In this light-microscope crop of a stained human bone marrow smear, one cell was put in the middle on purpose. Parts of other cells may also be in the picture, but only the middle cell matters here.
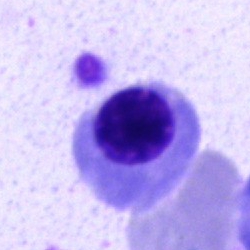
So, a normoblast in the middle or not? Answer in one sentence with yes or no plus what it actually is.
Yes, the cell lying in the centre of the crop is identified as a normoblast.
